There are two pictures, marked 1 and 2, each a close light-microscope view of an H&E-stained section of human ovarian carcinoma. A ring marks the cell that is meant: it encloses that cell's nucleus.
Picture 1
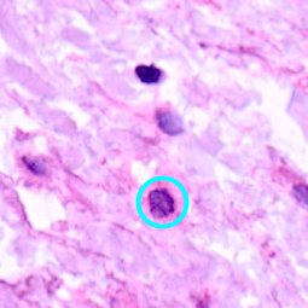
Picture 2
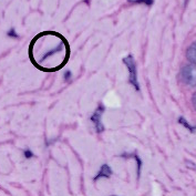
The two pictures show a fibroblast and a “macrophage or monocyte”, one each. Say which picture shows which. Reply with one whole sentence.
Picture 2 shows a fibroblast, while picture 1 shows a “macrophage or monocyte”.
